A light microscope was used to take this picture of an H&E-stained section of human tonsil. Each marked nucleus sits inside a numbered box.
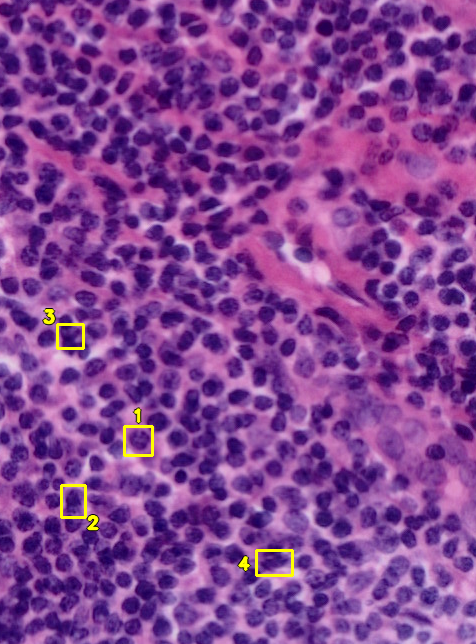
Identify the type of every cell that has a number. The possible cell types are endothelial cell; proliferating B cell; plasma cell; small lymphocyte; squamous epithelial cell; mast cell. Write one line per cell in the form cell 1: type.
cell 1: plasma cell
cell 2: small lymphocyte
cell 3: small lymphocyte
cell 4: small lymphocyte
